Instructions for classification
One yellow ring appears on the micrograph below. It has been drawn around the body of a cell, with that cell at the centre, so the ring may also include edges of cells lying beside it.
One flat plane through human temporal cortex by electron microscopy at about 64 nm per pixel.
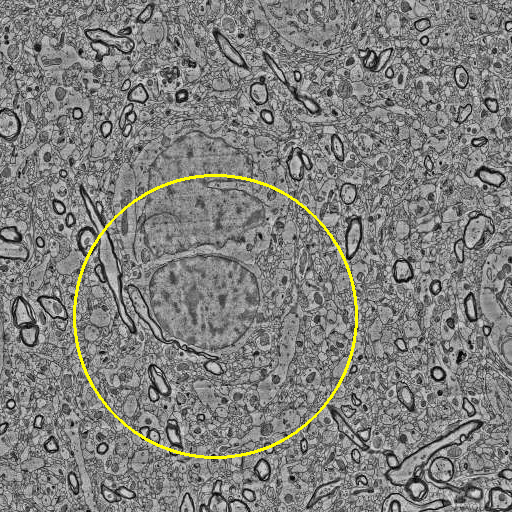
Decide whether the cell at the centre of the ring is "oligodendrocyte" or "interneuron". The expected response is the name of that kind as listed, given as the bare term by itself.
oligodendrocyte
